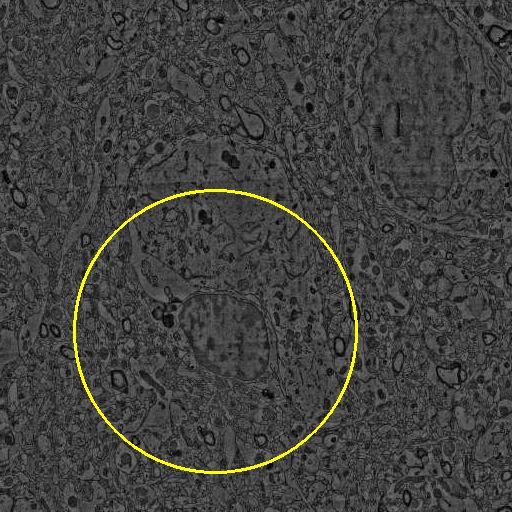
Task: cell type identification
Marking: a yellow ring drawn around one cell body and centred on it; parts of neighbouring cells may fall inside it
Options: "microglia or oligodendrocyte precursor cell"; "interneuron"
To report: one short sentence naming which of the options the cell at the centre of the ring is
The cell at the centre of the ring is a microglial cell or oligodendrocyte precursor cell.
